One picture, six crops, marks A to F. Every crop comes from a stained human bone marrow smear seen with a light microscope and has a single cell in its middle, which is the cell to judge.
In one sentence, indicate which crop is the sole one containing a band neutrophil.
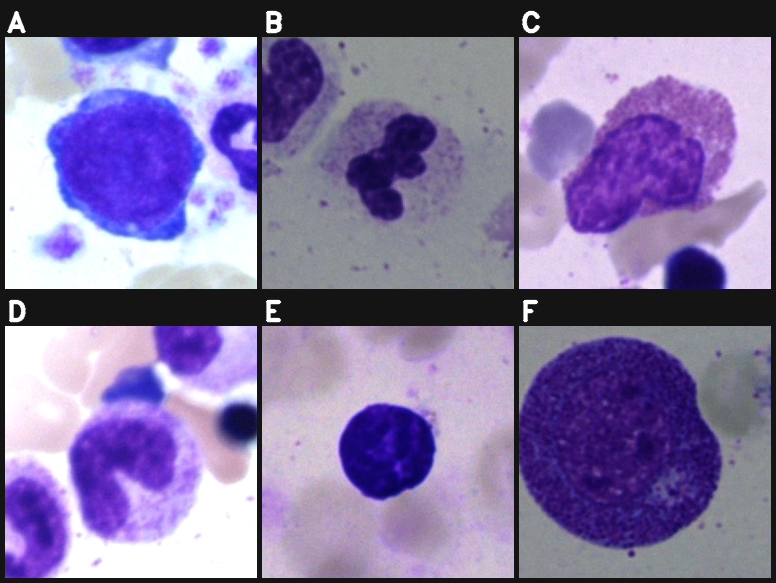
Among these crops, crop D holds a band neutrophil.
